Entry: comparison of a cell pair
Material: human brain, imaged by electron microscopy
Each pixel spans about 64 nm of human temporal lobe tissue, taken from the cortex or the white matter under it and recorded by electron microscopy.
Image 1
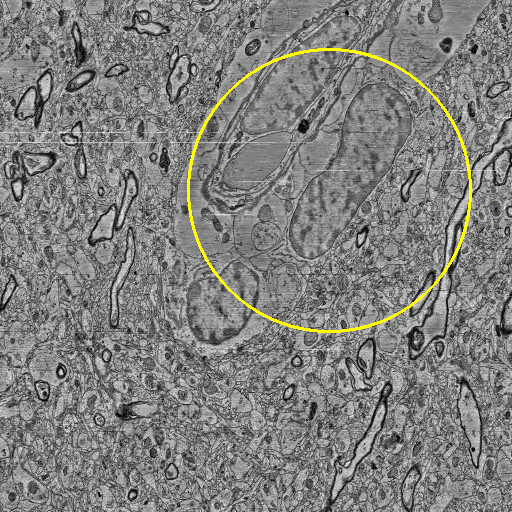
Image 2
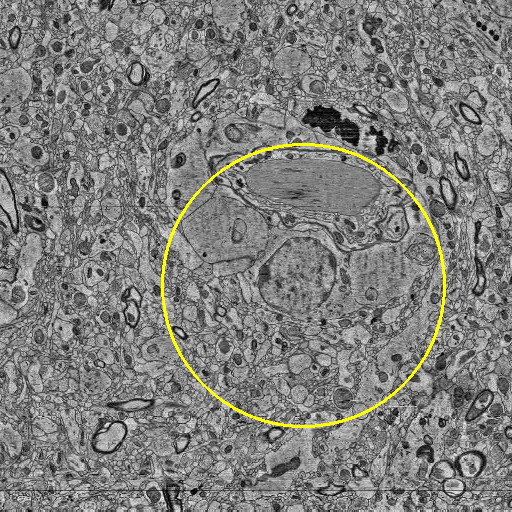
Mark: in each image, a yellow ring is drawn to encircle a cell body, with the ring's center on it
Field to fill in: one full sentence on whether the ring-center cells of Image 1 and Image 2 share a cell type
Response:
Yes, Image 1 and Image 2 each show a ring-center cell of one shared type.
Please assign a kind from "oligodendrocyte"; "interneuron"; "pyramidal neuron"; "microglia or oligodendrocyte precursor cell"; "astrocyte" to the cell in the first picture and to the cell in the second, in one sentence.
The ring centre holds a microglial cell or oligodendrocyte precursor cell in each of the two pictures.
